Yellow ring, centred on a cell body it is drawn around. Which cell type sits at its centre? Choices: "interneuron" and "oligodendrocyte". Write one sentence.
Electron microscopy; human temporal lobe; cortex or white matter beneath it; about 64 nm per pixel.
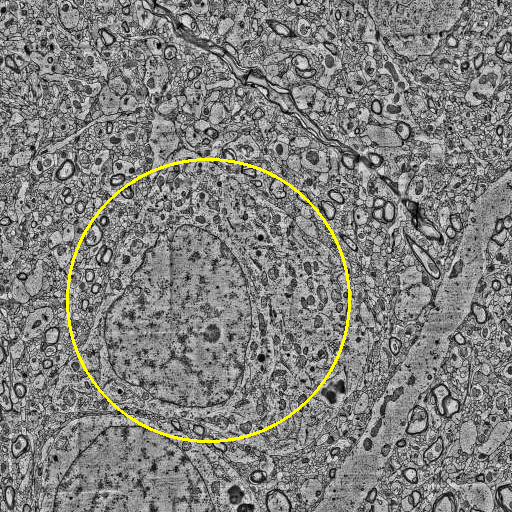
At the centre of the ring sits an interneuron.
